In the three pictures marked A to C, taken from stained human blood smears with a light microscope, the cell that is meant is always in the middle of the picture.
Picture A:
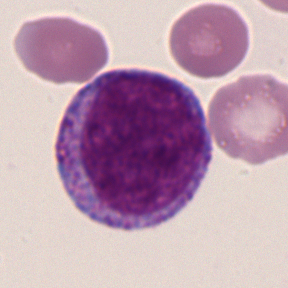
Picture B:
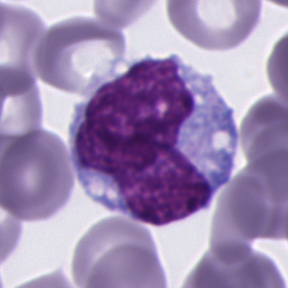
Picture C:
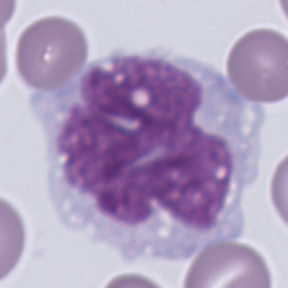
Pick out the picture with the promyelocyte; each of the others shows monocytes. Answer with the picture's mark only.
A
